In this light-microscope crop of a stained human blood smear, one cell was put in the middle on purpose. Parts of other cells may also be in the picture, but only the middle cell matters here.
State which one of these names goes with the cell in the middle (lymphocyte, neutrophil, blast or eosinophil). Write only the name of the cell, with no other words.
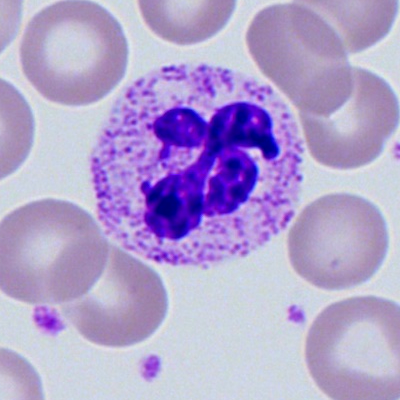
neutrophil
